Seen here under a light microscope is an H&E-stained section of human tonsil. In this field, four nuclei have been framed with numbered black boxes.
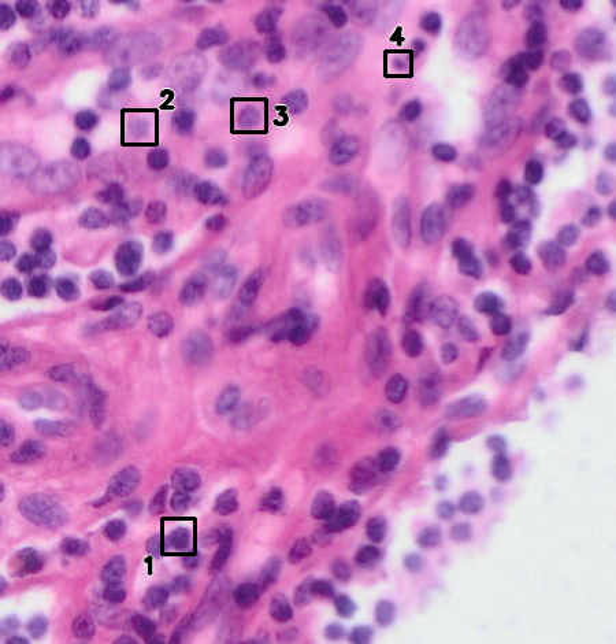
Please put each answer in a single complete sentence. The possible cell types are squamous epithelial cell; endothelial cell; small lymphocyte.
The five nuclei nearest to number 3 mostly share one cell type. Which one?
Most of the five nuclei nearest to number 3 are those of endothelial cells.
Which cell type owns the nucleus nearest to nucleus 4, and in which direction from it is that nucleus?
It is an endothelial cell, whose nucleus lies above and to the right of nucleus 4.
